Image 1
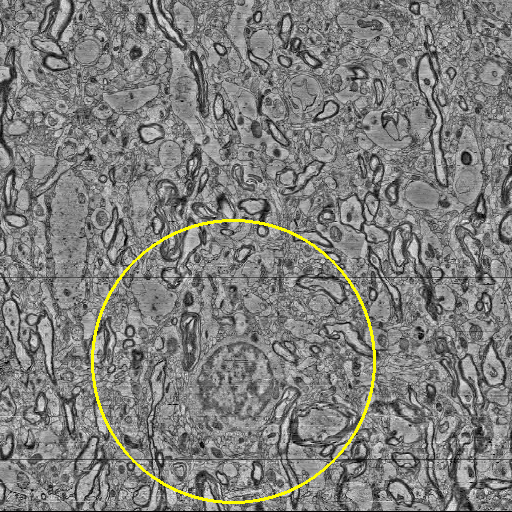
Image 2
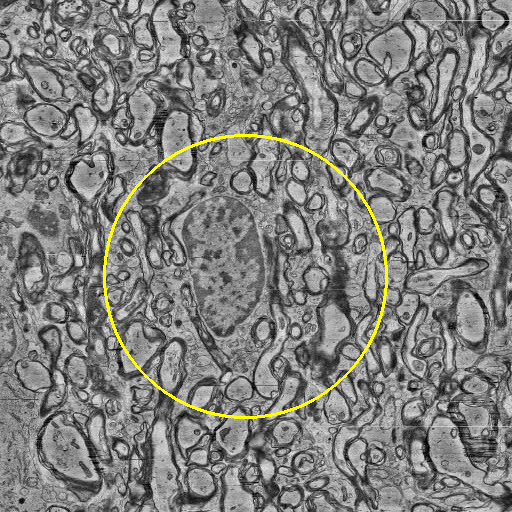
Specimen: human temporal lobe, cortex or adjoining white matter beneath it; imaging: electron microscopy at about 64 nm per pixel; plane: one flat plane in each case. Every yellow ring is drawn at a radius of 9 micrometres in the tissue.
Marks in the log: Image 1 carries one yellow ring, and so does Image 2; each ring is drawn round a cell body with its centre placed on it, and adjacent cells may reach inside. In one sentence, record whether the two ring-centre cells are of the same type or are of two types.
The two cells at the ring centres, one in each image, are of two types.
